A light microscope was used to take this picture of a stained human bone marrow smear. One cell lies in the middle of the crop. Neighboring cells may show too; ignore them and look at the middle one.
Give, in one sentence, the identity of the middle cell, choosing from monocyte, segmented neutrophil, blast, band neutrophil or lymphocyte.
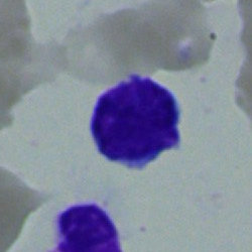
This crop has a lymphocyte at its centre.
